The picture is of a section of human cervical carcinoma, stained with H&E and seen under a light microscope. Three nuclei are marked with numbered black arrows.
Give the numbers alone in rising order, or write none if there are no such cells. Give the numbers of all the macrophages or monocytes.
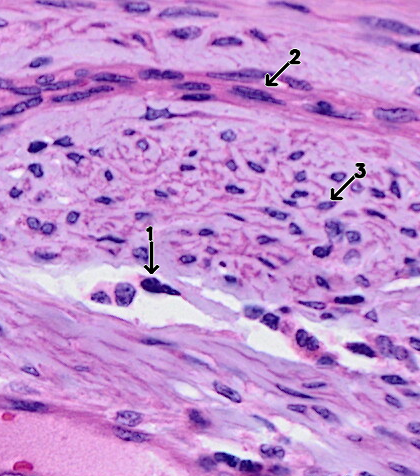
none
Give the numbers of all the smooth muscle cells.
3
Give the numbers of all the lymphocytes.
1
